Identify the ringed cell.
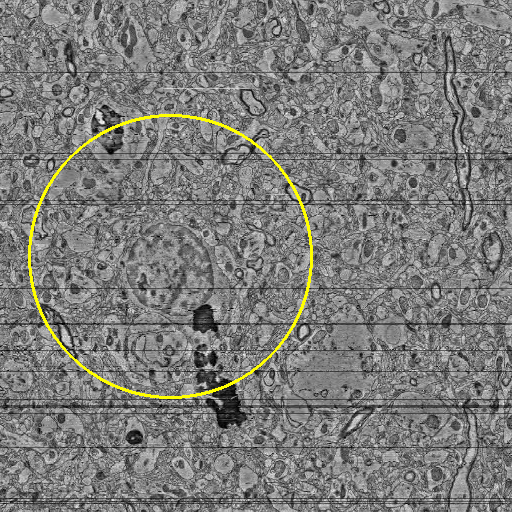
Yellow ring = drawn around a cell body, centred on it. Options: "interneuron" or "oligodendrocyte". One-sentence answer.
What the ring is centred on is an oligodendrocyte.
